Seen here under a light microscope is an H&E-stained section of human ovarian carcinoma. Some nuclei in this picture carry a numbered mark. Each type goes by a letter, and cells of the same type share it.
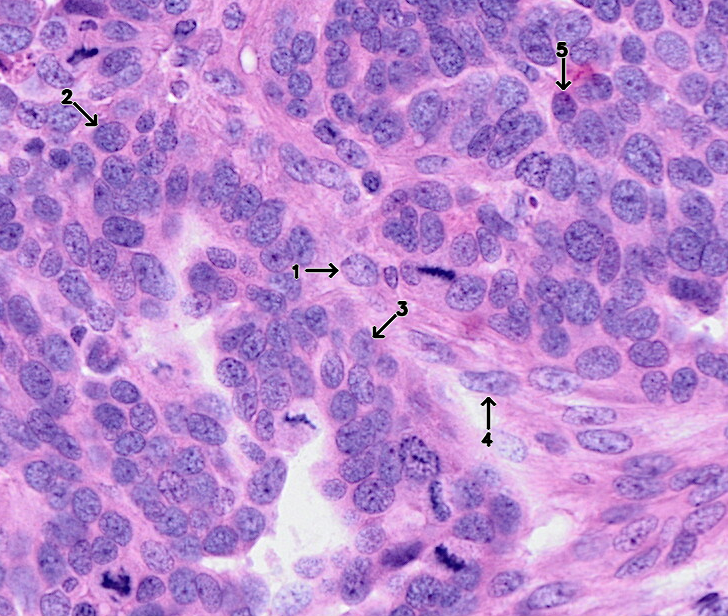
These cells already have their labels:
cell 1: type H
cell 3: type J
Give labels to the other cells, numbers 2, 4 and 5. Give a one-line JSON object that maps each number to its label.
{"2": "type J", "4": "type H", "5": "type J"}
